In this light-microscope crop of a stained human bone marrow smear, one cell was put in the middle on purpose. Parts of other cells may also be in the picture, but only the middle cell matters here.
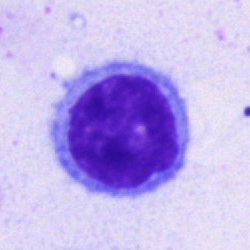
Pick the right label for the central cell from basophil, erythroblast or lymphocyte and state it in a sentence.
The cell positioned in the middle of the field is a lymphocyte.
